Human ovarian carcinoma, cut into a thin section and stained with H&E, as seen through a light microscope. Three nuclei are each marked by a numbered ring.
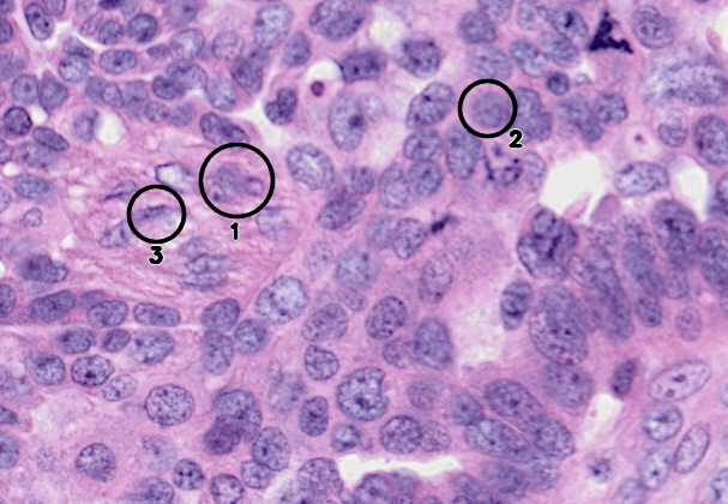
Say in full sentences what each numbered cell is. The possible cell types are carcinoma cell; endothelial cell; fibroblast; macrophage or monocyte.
Cells 1 and 3 are fibroblasts. Cell 2 is a carcinoma cell.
